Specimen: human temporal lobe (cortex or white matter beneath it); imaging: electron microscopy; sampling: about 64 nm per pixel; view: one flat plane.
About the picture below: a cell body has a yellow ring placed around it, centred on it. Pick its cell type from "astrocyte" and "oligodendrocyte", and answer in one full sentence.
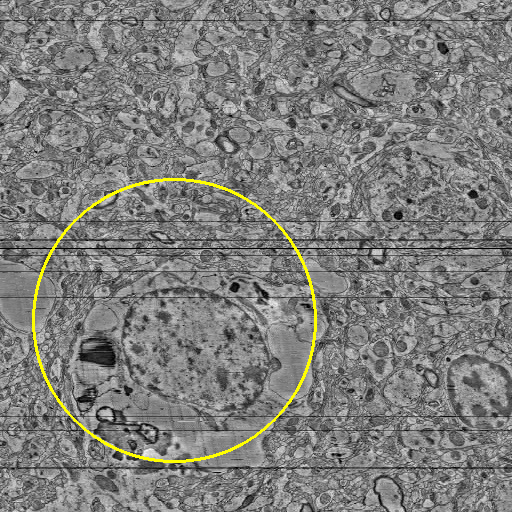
In the picture, an astrocyte is the cell sitting at the centre of the yellow ring.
